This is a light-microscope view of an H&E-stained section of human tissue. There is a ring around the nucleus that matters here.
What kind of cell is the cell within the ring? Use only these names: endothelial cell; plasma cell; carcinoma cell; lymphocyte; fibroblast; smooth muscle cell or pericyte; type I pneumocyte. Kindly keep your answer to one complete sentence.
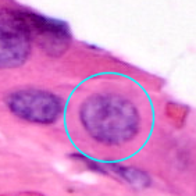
In this tissue sample, the cell within the ring is a carcinoma cell.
